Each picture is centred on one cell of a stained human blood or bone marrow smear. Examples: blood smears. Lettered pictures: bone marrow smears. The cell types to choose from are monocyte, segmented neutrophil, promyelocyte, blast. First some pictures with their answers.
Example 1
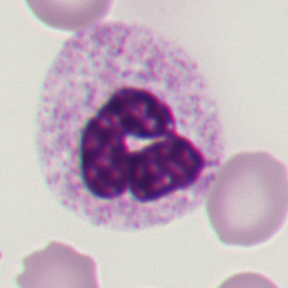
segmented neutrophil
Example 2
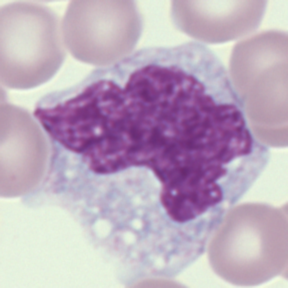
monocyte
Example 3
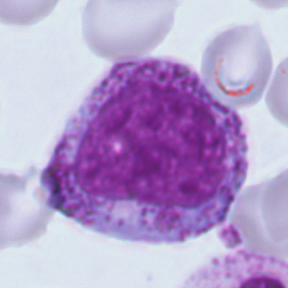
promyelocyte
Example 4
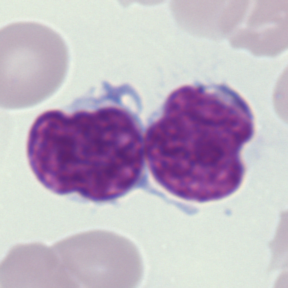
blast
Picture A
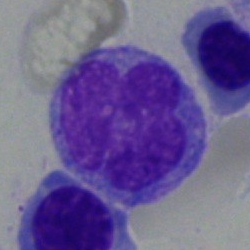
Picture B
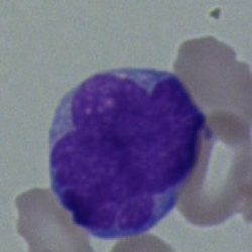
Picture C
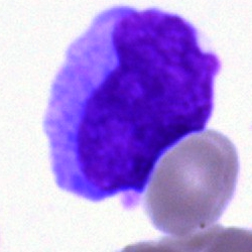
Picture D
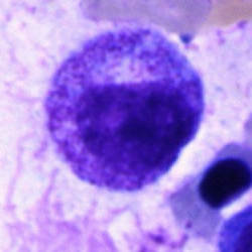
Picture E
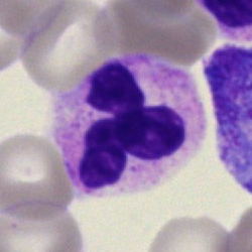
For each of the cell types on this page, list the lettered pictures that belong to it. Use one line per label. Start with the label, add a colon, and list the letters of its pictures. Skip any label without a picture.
monocyte: A
segmented neutrophil: E
promyelocyte: D
blast: B, C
